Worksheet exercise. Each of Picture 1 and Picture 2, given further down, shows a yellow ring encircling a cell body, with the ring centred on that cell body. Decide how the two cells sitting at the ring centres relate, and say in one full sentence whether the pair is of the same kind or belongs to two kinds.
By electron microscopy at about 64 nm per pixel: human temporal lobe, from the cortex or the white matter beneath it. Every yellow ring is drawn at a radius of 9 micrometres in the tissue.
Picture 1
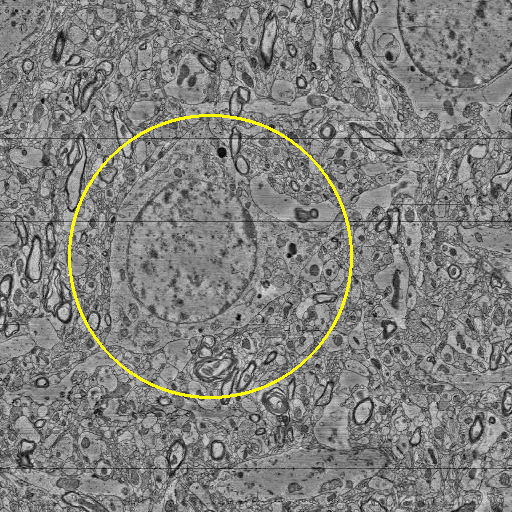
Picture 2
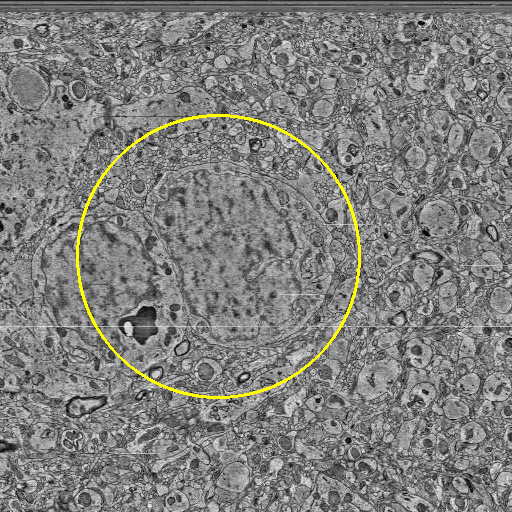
The cells at the ring centres in Picture 1 and Picture 2 are of the same kind.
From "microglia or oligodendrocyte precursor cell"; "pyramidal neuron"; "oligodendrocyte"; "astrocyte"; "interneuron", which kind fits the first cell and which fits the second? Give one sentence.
Each cell at the centre of a ring is an interneuron.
